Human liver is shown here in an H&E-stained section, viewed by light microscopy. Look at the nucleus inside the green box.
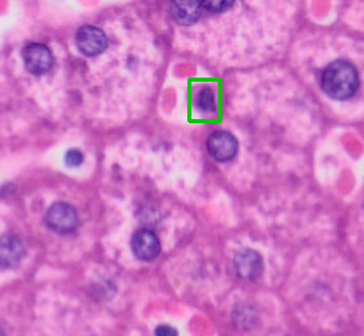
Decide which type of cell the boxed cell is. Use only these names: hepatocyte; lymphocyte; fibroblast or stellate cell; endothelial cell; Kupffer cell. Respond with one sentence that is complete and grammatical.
By cell type, the boxed cell is a Kupffer cell.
